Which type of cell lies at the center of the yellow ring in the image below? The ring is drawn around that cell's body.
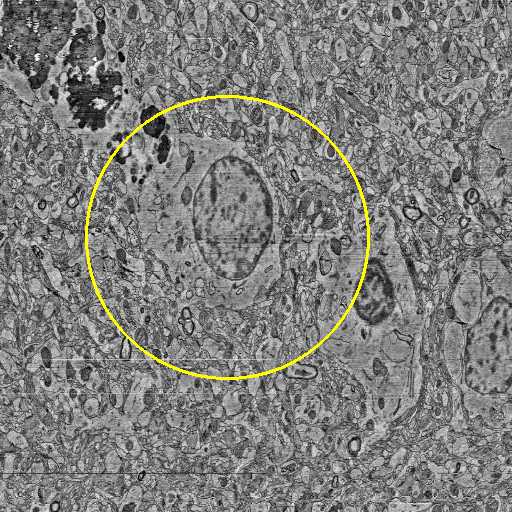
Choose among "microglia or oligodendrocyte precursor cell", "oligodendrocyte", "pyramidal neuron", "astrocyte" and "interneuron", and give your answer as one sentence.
The cell body at the center belongs to an astrocyte.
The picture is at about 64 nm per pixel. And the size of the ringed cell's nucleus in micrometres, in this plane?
About 8 by 5 micrometres in this plane; clearly longer than it is wide.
